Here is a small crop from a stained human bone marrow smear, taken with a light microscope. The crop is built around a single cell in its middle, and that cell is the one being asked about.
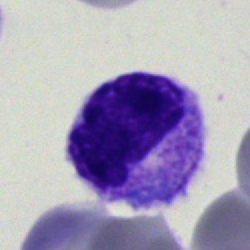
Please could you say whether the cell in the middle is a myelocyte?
yes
